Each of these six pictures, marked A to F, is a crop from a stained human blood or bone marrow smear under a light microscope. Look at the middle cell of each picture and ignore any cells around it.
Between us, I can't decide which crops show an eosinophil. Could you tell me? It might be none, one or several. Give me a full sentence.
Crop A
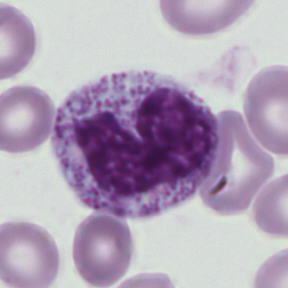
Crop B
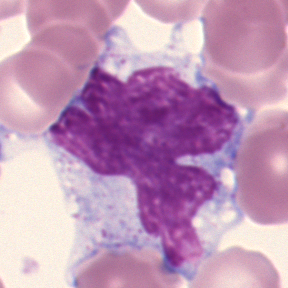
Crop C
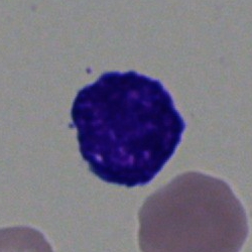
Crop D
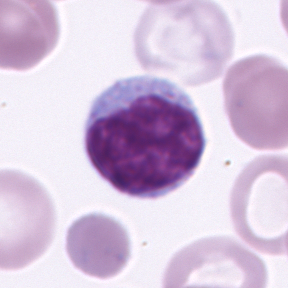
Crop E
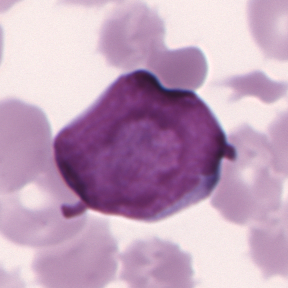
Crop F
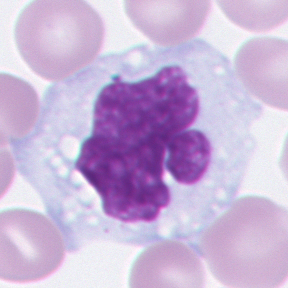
The number of crops with an eosinophil in them is zero.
